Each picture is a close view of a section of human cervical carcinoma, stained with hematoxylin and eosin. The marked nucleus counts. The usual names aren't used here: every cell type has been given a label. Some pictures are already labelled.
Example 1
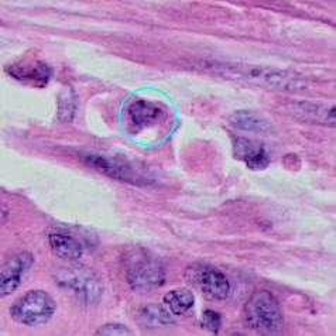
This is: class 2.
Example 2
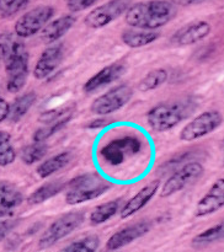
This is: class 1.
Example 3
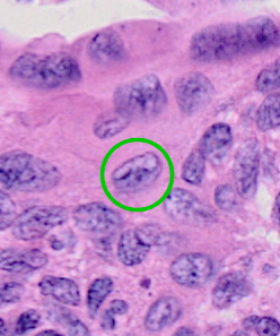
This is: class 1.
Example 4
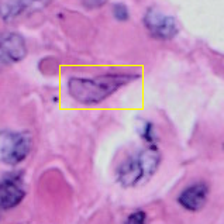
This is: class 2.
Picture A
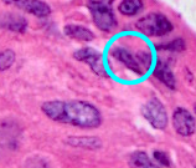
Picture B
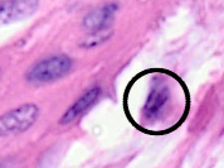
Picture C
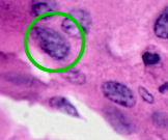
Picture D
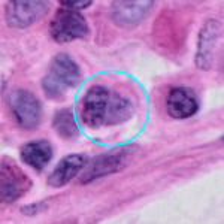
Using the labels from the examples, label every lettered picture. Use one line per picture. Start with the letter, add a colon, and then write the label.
A: class 1.
B: class 2.
C: class 1.
D: class 2.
